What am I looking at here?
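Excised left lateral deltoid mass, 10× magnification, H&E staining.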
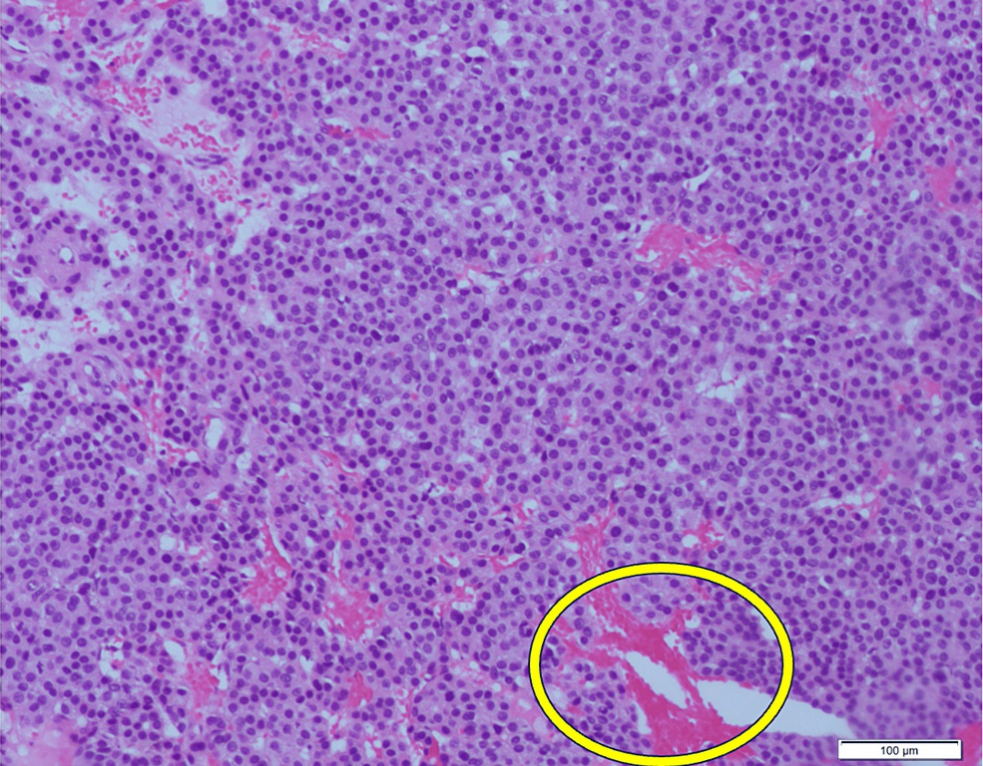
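This is a glomus tumor, made up of closely packed sheets of uniform, round cells. Each cell has a round, dark purple, centrally placed nucleus and a rim of pale pink cytoplasm. Small, thin-walled blood vessels run between the sheets throughout the field. Their slit-like channels are filled or lined with bright pink material, and one such vessel lies at the lower right.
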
